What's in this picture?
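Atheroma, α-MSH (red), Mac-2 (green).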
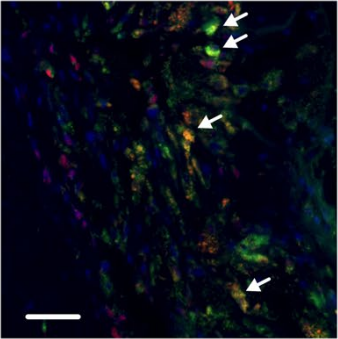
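Several rounded cells show green and red overlapping as yellow-orange, while some red-only spots and green-only cells lie between them. The cells are loosely arranged without a regular layered pattern.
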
